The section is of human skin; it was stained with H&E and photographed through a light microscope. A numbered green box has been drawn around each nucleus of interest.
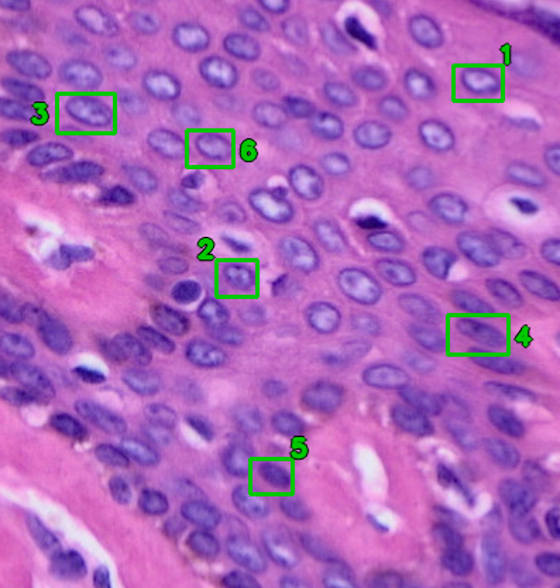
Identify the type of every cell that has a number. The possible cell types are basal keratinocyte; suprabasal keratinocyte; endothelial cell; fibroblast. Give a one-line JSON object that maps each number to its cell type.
{"1": "suprabasal keratinocyte", "2": "suprabasal keratinocyte", "3": "suprabasal keratinocyte", "4": "basal keratinocyte", "5": "basal keratinocyte", "6": "suprabasal keratinocyte"}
